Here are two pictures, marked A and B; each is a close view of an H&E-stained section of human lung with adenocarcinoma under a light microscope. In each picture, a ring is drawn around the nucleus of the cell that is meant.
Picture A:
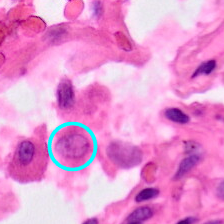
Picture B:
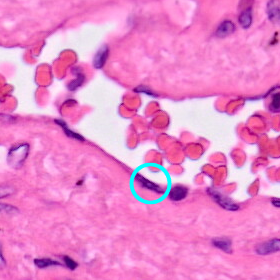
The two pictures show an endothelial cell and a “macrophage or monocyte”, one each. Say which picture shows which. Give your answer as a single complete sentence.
Picture A shows a “macrophage or monocyte” and picture B shows an endothelial cell.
